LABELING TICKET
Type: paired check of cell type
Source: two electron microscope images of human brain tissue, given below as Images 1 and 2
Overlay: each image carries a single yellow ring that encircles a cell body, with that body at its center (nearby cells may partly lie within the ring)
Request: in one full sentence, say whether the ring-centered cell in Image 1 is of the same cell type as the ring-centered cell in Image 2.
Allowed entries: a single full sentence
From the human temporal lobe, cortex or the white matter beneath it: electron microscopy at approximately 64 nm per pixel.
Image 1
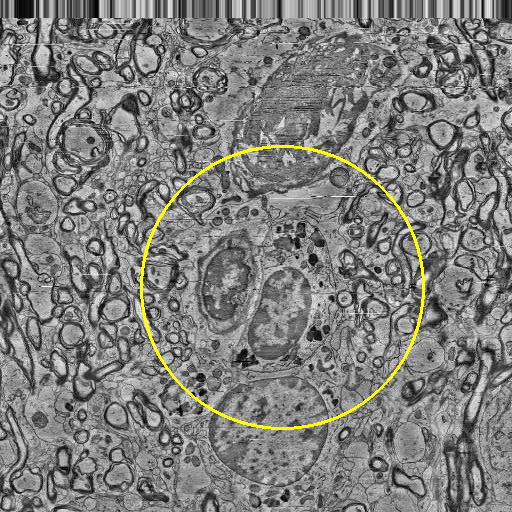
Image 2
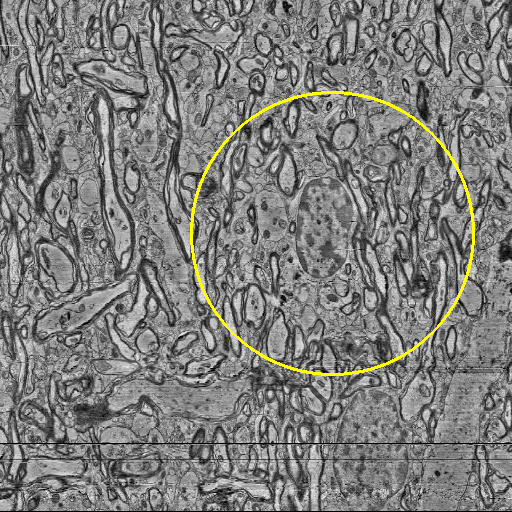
Yes, the cells centered in the rings of Image 1 and Image 2 share one type.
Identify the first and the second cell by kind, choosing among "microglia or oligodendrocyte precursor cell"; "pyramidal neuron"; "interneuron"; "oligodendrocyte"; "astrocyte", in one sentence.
Both the first and the second picture show a microglial cell or oligodendrocyte precursor cell in the ring.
